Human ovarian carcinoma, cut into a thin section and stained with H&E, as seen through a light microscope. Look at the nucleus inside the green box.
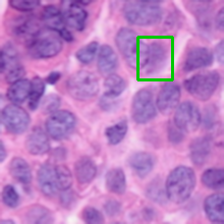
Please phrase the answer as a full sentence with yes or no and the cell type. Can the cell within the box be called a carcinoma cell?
Yes, it is the case that the cell within the box is a carcinoma cell.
